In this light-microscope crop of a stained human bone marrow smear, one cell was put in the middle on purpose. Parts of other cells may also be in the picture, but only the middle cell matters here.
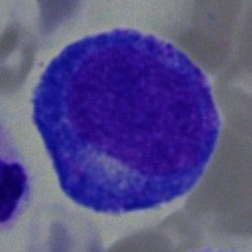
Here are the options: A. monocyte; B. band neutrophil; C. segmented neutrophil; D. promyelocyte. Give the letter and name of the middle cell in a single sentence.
The cell in the center of this crop is a promyelocyte, so option D is the one to pick.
